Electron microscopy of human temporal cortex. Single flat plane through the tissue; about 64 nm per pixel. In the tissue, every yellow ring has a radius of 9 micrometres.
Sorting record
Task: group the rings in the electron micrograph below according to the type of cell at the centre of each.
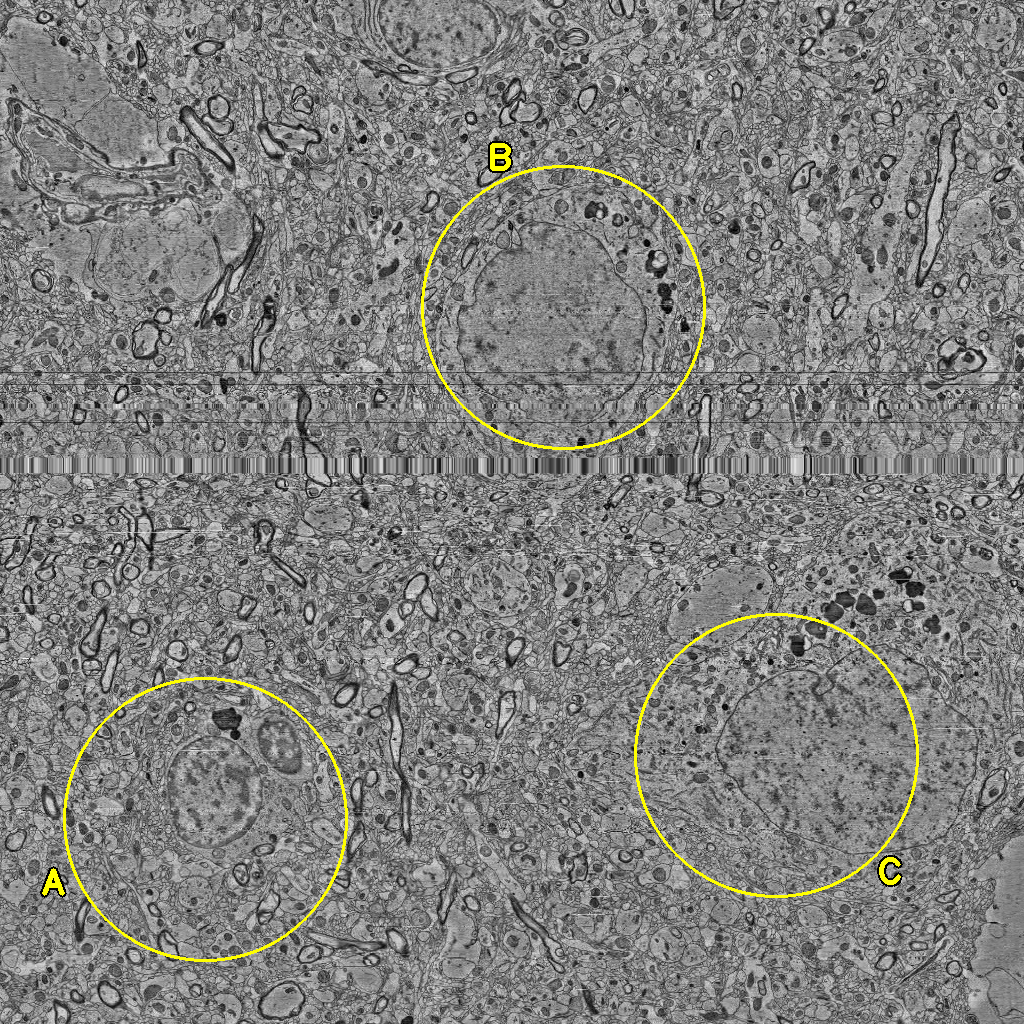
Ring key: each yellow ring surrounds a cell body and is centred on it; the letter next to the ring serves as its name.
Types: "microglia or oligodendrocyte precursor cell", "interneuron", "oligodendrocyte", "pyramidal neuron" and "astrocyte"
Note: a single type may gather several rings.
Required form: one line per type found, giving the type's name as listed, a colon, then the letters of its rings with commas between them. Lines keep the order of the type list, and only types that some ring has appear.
oligodendrocyte: A
pyramidal neuron: B, C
